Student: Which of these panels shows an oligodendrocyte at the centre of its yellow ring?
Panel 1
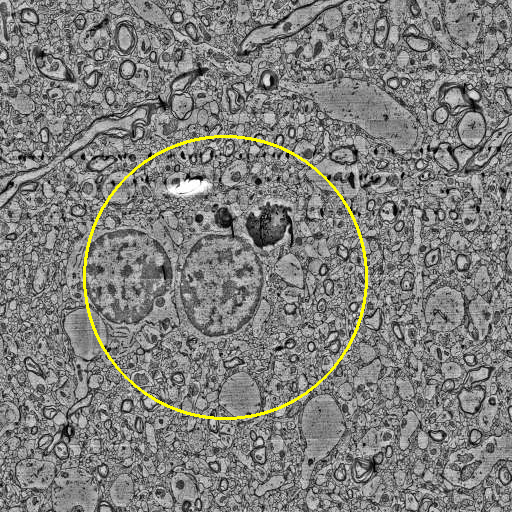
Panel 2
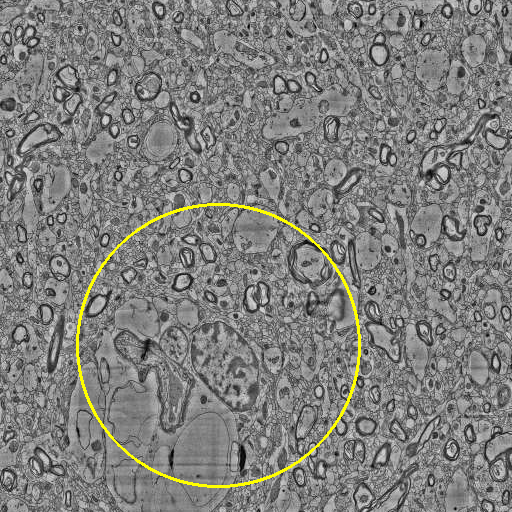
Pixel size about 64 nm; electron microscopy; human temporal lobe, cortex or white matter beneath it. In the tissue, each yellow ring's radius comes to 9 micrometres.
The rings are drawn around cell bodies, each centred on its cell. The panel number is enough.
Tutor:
1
